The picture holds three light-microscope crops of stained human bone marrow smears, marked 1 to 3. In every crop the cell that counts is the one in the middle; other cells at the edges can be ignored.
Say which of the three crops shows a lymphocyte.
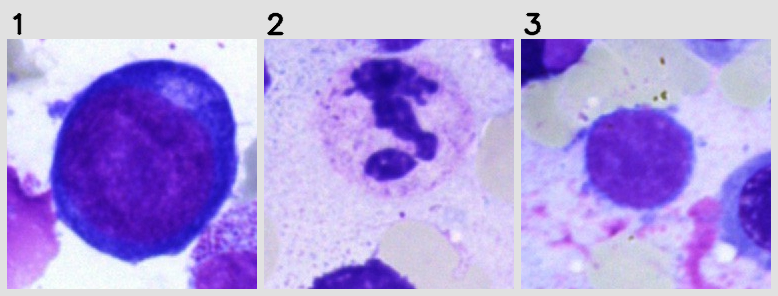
3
